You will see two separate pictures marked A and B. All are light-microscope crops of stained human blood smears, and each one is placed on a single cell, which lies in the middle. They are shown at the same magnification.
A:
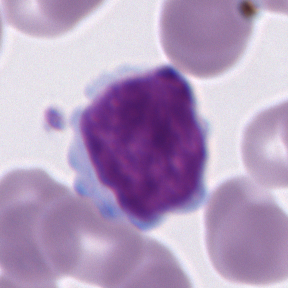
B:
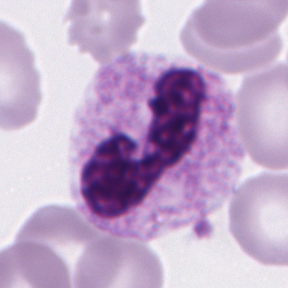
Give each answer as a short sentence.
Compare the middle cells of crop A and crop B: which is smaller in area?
Crop A holds the smaller cell, since the cell in crop B covers about 1.5 times as much area.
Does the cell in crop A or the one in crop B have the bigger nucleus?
Crop A shows the larger nucleus; it covers about 1.5 times the area of the nucleus in crop B.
